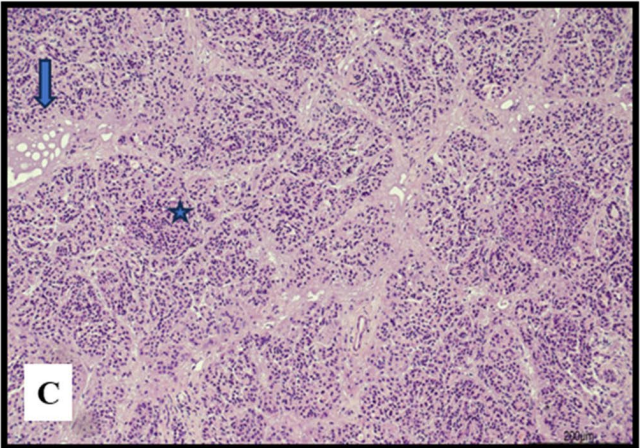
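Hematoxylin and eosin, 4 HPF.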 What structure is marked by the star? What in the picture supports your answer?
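The star sits on a rounded cluster of cells set apart from the surrounding lobules. The cluster is smaller than a lobule and lies within the glandular tissue. The answer: Langerhans’s islets.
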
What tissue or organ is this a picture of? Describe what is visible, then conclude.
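Glandular tissue is arranged in lobules separated by pale fibrous septa. Lobules are composed of small clusters of purple cells. The answer: Pancreas.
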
